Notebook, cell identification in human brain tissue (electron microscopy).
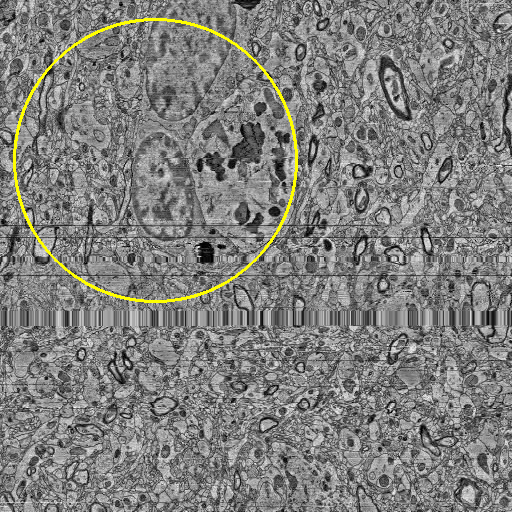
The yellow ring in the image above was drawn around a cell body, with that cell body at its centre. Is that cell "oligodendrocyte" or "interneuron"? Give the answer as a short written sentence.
The cell in the ring is an oligodendrocyte.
